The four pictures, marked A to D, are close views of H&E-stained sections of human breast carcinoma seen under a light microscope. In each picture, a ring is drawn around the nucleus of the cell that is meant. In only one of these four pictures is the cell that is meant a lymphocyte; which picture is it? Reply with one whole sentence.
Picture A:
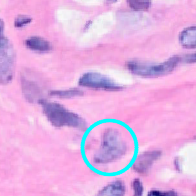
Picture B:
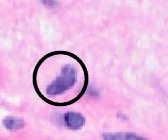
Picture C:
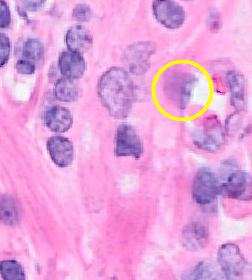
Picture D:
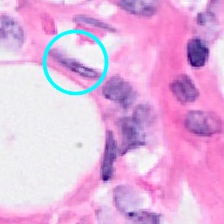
Picture B shows the lymphocyte.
